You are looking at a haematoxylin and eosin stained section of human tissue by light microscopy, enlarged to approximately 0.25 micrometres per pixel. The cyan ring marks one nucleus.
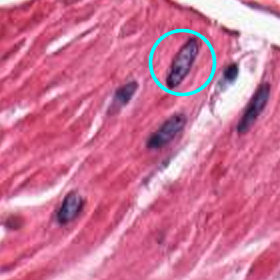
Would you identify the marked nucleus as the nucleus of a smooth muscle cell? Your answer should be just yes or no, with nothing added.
yes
